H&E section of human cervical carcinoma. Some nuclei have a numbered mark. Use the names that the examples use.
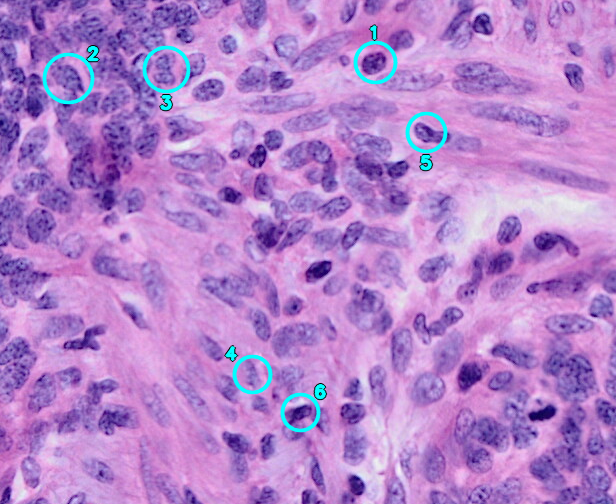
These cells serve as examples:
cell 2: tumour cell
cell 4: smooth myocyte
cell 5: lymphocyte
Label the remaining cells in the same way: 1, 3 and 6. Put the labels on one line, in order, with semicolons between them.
lymphocyte; tumour cell; lymphocyte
